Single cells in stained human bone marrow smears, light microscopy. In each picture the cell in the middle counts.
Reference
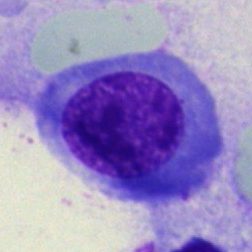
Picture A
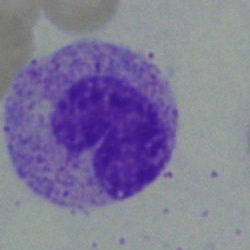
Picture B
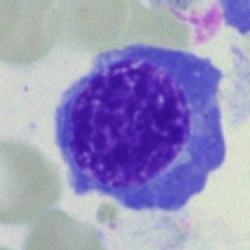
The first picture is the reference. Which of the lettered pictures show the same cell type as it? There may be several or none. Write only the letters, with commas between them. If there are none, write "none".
B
